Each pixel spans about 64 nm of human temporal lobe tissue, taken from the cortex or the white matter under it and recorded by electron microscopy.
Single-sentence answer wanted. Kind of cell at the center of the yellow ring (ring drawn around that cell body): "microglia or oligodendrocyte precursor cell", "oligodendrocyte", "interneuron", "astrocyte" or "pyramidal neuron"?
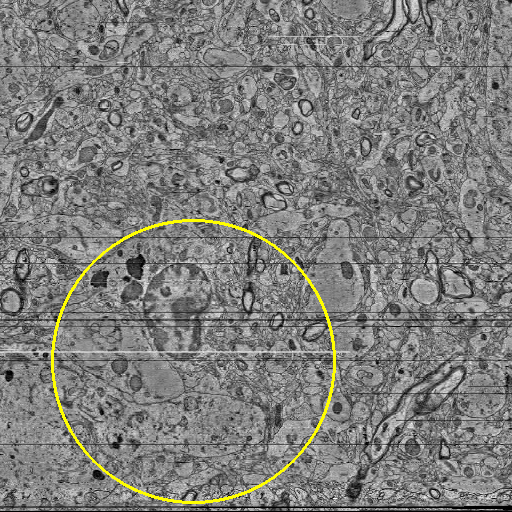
The cell centered in the ring is a microglial cell or oligodendrocyte precursor cell.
